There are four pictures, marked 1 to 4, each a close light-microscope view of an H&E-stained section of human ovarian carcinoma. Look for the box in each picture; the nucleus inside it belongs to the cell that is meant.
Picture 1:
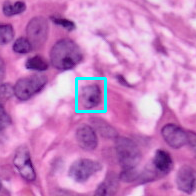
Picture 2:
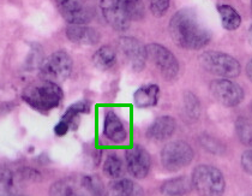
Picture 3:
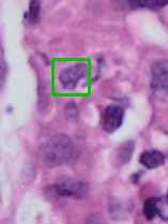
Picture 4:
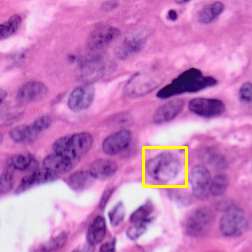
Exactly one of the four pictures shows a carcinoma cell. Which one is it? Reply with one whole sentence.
Picture 2 shows the carcinoma cell.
